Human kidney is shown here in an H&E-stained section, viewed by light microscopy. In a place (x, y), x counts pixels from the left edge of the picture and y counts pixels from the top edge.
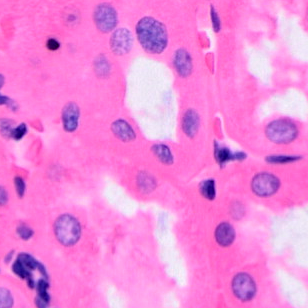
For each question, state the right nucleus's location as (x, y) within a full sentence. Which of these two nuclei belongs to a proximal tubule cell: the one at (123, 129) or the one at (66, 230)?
The nucleus at position (66, 230) belongs to a proximal tubule cell.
